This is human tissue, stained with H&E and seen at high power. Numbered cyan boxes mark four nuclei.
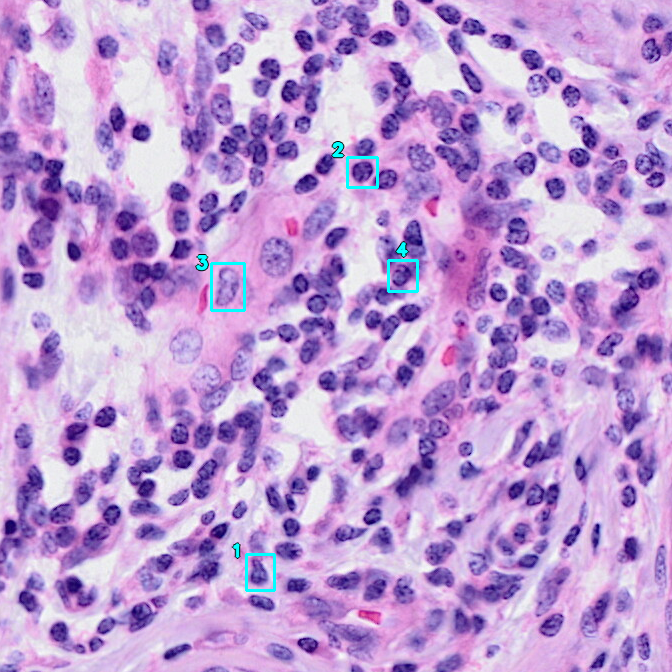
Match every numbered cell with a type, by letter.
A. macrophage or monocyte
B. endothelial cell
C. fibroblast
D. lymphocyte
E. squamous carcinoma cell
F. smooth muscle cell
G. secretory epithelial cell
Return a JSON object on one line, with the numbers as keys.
{"1": "D", "2": "D", "3": "B", "4": "D"}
